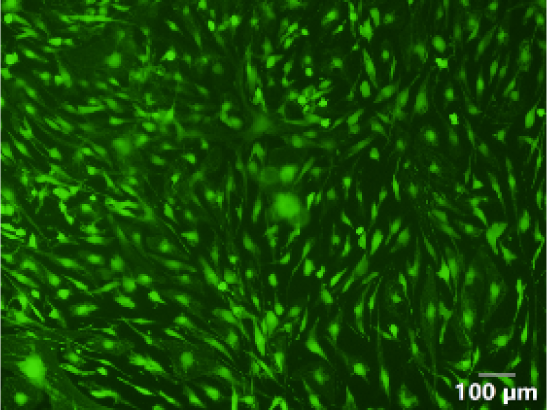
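Most cells are elongated and spindle-shaped, with thin tapering processes. They lie in loosely aligned, overlapping streams across the field. A few cells are rounder and brighter than the rest. The fluorescence is moderate, and dark spaces remain between many of the cells.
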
